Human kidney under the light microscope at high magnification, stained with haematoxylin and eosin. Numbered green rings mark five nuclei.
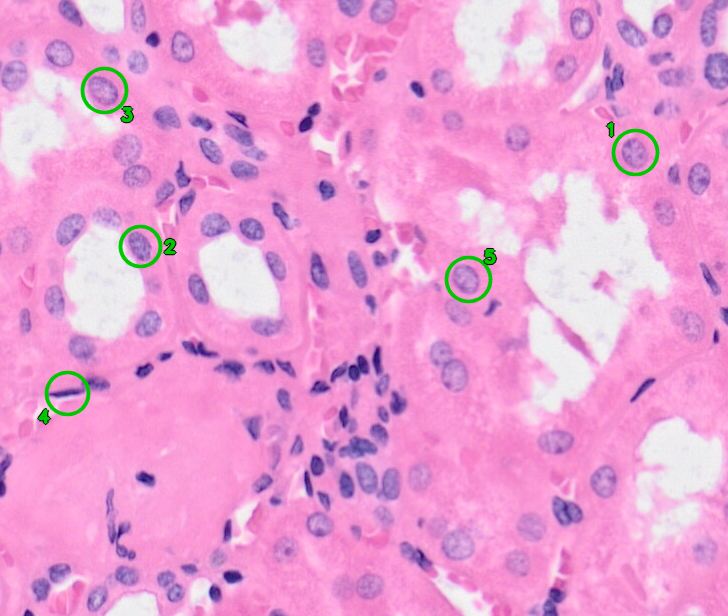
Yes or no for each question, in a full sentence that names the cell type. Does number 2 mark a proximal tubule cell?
No, the cell at marker 2 is not a proximal tubule cell; it is a loop of Henle or distal tubule cell.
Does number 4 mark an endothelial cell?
Yes, the cell carrying number 4 is an endothelial cell.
